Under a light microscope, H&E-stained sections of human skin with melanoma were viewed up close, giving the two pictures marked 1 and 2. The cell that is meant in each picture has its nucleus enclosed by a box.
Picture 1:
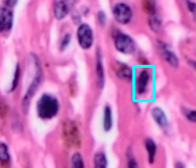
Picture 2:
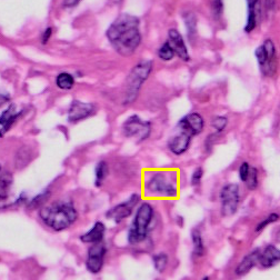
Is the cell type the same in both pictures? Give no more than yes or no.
no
